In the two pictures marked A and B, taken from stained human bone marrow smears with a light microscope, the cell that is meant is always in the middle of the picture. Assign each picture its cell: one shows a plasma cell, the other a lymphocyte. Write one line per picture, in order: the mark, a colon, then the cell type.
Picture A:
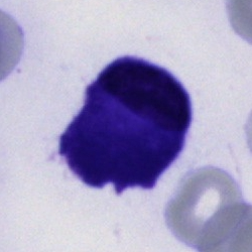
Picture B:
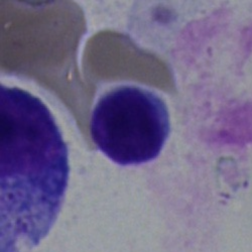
A: plasma cell
B: lymphocyte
